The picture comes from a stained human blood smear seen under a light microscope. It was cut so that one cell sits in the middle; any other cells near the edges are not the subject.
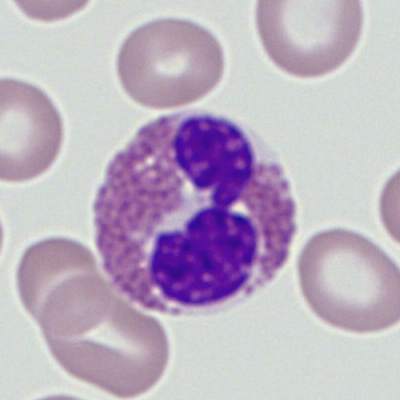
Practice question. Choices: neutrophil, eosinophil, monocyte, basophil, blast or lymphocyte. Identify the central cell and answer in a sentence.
By classification, the middle cell of this crop is an eosinophil.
